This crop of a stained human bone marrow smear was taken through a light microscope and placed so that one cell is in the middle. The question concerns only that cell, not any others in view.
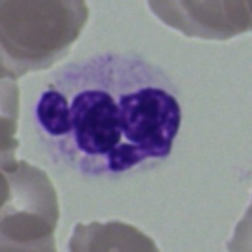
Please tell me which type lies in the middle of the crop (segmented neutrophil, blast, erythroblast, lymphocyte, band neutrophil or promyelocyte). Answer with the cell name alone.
segmented neutrophil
